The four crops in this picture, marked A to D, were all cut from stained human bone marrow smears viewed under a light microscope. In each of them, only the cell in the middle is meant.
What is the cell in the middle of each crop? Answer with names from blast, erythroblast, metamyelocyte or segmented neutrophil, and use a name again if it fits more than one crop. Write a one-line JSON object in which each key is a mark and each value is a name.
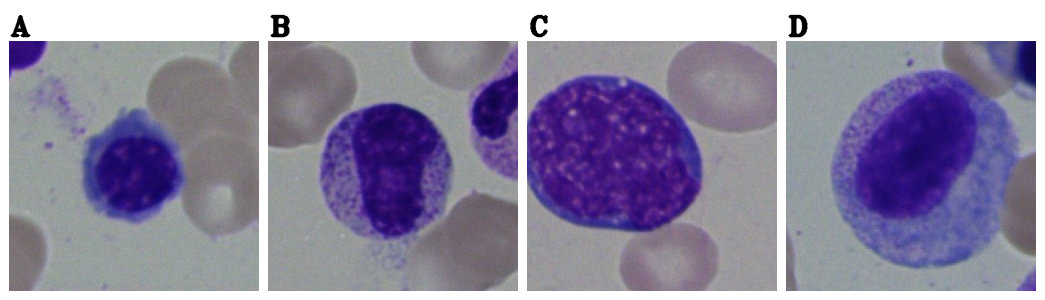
{"A": "erythroblast", "B": "metamyelocyte", "C": "blast", "D": "metamyelocyte"}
